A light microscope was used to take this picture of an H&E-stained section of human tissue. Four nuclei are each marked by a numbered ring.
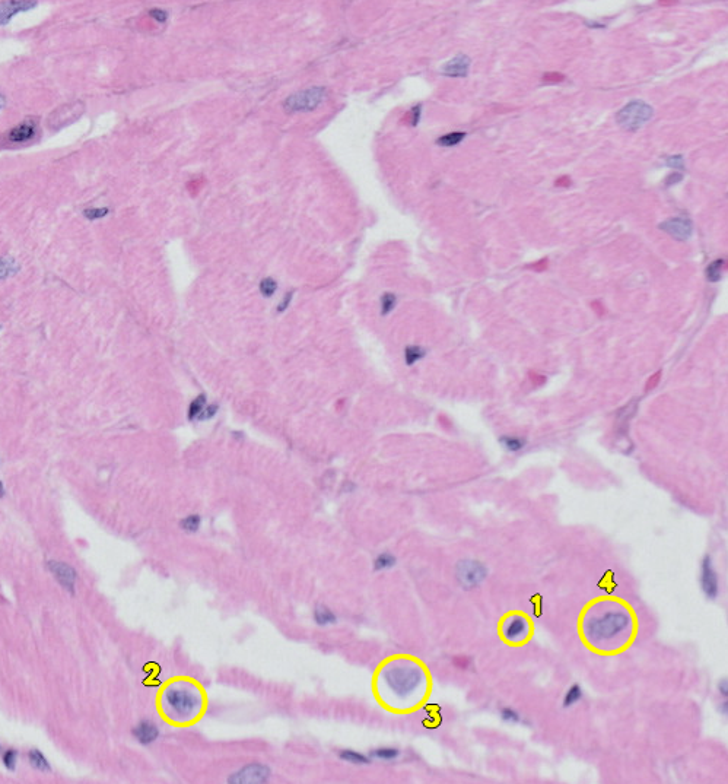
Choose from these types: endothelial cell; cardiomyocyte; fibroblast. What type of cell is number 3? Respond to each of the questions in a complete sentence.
Looking at the numbered marks, cell 3 is a cardiomyocyte.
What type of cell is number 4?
To a cardiomyocyte belongs the nucleus marked 4.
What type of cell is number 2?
The cell with the number 2 is a fibroblast.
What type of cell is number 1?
The one labeled 1 is an endothelial cell, to put it simply.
